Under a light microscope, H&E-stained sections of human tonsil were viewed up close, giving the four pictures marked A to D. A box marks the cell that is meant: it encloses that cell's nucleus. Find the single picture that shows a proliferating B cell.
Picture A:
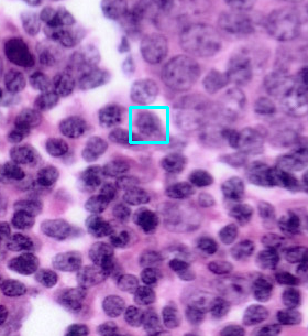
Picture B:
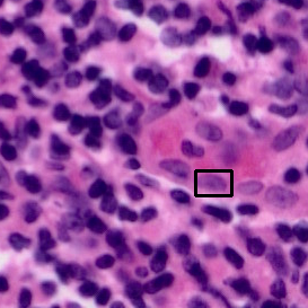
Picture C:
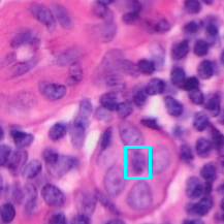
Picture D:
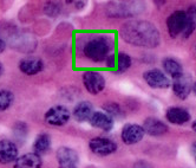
A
